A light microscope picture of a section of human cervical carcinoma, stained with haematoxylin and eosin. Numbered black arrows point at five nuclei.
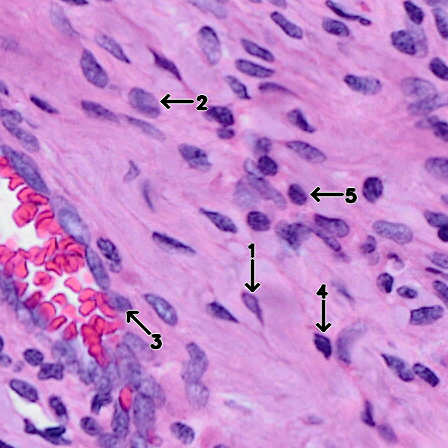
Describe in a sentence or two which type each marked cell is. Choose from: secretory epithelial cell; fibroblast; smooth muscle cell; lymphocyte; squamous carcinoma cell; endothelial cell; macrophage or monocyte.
Cells 1 and 2 are fibroblasts. Cell 3 is an endothelial cell. Cells 4 and 5 are lymphocytes.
